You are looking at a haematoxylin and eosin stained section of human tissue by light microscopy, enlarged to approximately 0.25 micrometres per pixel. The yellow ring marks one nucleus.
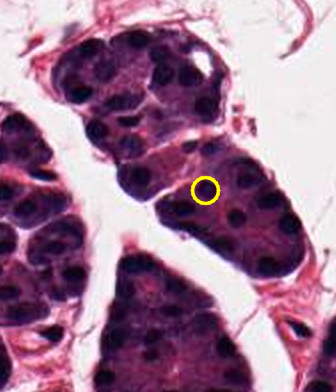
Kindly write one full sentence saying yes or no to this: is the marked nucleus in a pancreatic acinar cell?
Yes, belonging to a pancreatic acinar cell is the marked nucleus.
